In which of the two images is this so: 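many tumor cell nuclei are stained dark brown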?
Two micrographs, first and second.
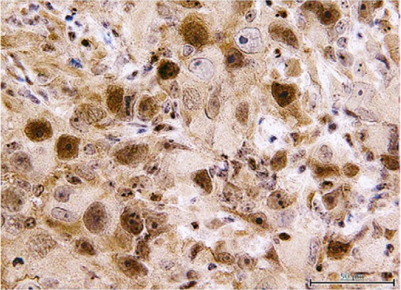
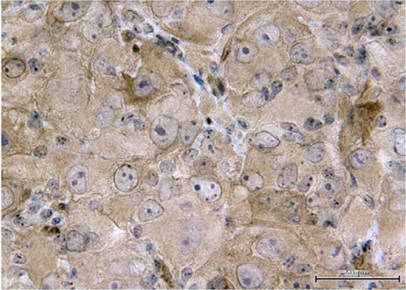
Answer: The first image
